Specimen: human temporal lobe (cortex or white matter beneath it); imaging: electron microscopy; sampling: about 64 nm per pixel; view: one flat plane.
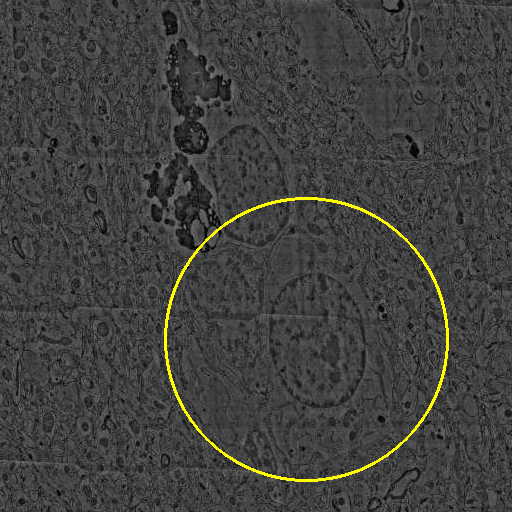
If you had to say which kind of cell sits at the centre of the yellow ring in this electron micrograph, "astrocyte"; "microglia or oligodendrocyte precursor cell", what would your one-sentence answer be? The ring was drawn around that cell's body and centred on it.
The cell sitting at the centre of the ring is an astrocyte.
